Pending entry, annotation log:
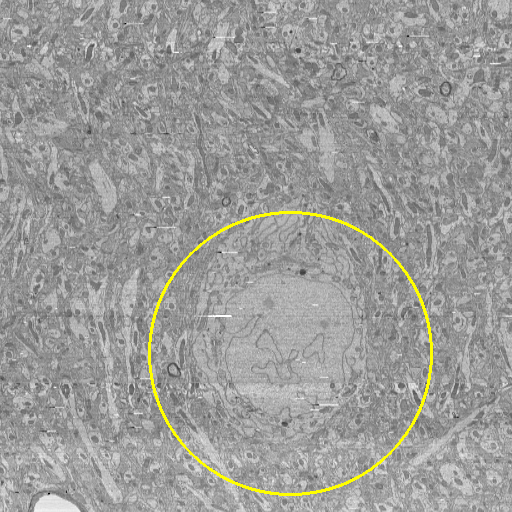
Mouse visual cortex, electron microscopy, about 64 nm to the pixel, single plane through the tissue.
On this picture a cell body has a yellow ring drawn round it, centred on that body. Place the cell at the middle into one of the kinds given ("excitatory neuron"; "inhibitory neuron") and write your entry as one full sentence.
The cell body at the middle of the yellow ring belongs to an inhibitory neuron.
